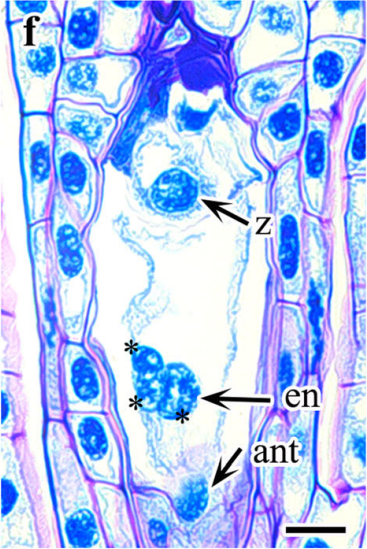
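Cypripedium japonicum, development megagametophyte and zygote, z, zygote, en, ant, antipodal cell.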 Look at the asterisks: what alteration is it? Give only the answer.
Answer: triple fusion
